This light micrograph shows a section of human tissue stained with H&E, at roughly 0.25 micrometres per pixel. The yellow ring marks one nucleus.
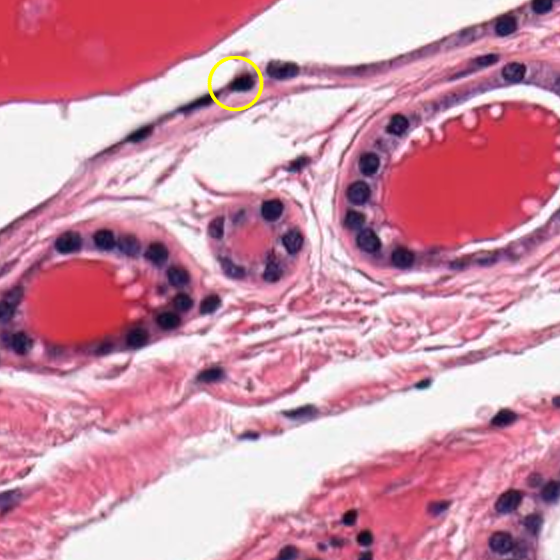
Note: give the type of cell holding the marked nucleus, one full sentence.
As shown here, the nucleus that is marked is that of a thyroid follicular cell.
